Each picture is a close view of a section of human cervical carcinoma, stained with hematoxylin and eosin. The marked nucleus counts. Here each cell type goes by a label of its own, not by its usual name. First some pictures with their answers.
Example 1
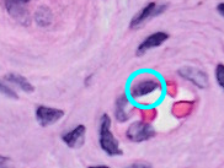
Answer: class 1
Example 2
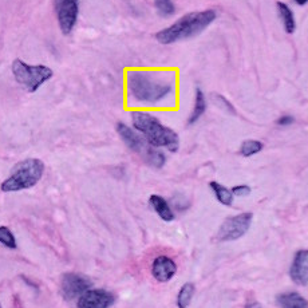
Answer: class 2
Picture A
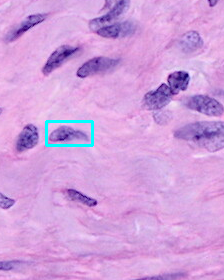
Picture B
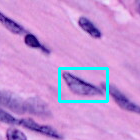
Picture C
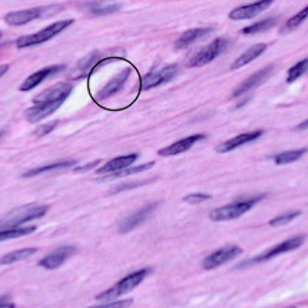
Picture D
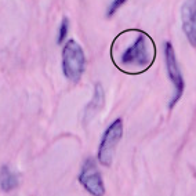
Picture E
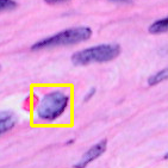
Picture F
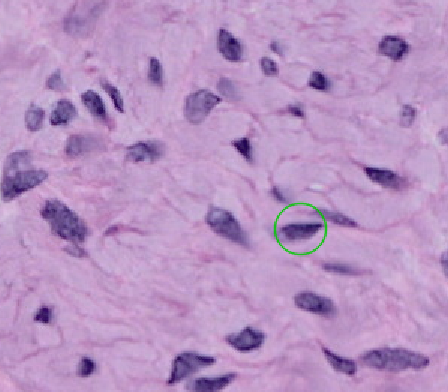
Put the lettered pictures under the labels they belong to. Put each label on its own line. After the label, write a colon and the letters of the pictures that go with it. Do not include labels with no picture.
class 1: C, E
class 2: A, B, D, F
